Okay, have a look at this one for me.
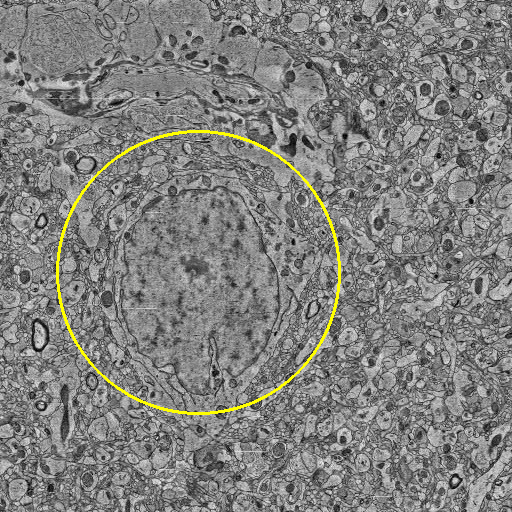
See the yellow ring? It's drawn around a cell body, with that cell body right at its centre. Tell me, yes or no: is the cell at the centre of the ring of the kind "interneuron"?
Yes, it is of that kind.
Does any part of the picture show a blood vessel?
Yes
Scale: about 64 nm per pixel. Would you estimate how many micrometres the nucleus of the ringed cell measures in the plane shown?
In this plane the nucleus measures roughly 13 by 10 micrometers.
